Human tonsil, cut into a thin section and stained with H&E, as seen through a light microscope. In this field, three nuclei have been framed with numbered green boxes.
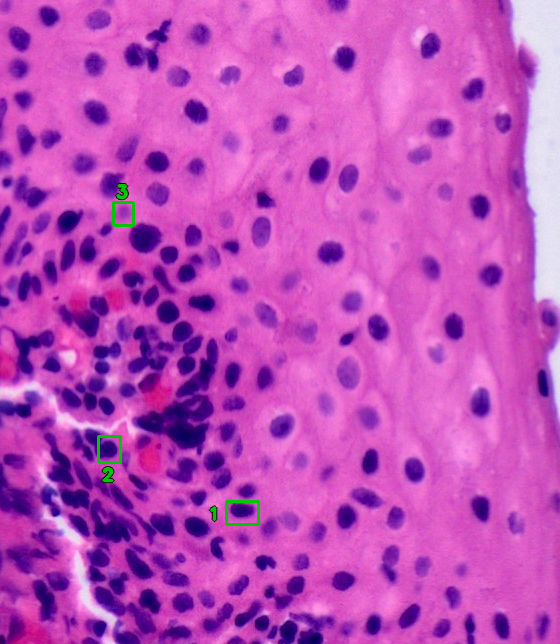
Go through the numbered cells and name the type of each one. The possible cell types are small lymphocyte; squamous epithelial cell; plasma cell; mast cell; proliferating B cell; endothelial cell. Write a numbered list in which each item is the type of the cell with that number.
1. squamous epithelial cell
2. plasma cell
3. squamous epithelial cell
